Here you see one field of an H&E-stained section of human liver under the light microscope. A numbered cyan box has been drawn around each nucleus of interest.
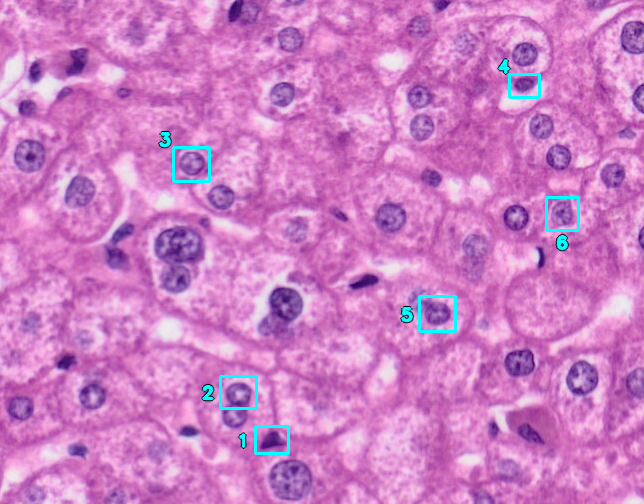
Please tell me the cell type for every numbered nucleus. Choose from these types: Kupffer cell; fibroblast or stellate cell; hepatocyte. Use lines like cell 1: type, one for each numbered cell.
cell 1: fibroblast or stellate cell
cell 2: hepatocyte
cell 3: hepatocyte
cell 4: Kupffer cell
cell 5: hepatocyte
cell 6: hepatocyte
